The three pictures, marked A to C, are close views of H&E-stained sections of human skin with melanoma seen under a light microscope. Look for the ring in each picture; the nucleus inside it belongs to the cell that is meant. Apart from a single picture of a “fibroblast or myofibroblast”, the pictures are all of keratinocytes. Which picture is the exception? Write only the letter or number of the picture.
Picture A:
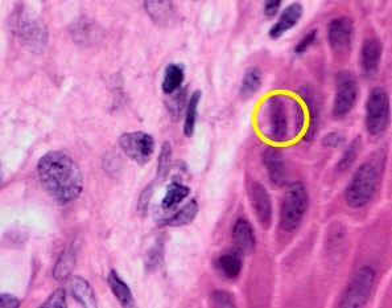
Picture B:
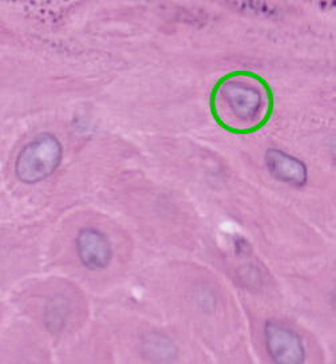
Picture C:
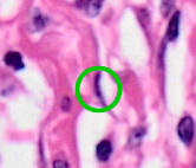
C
